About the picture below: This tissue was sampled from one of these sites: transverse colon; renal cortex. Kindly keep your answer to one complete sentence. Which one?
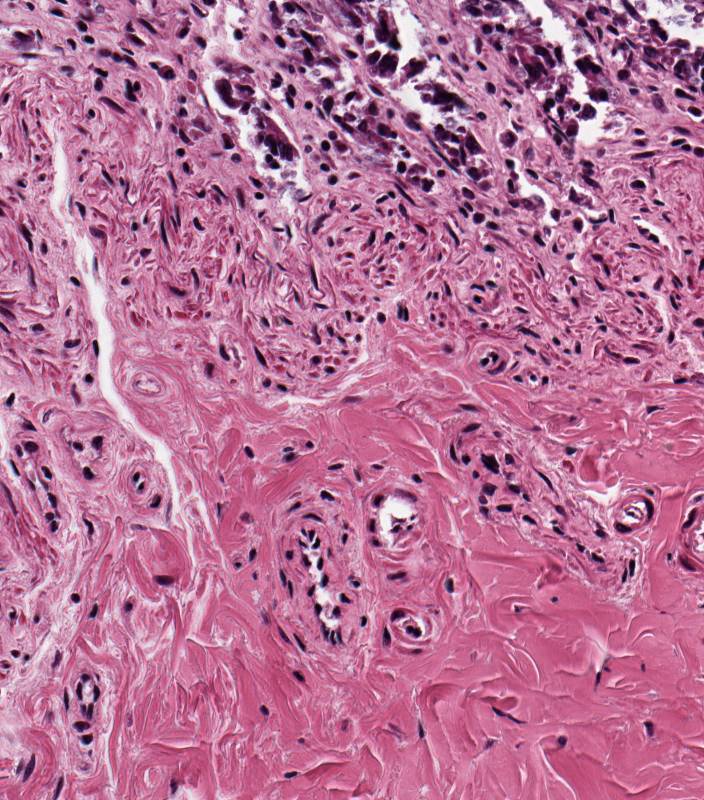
It was from the transverse colon that this tissue was sampled.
